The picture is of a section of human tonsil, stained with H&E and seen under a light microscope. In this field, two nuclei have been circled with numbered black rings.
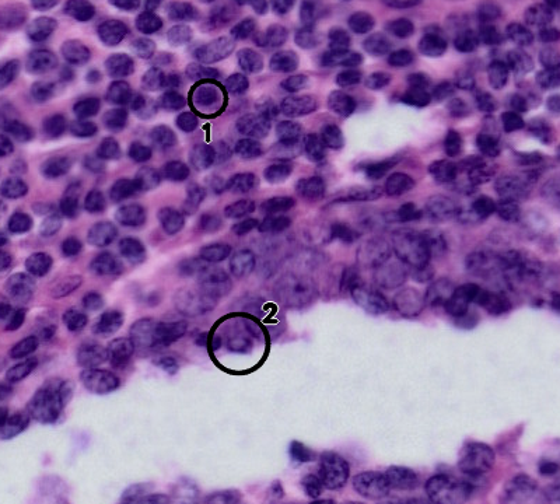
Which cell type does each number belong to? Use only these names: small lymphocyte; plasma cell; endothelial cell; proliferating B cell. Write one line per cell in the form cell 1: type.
cell 1: small lymphocyte
cell 2: proliferating B cell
